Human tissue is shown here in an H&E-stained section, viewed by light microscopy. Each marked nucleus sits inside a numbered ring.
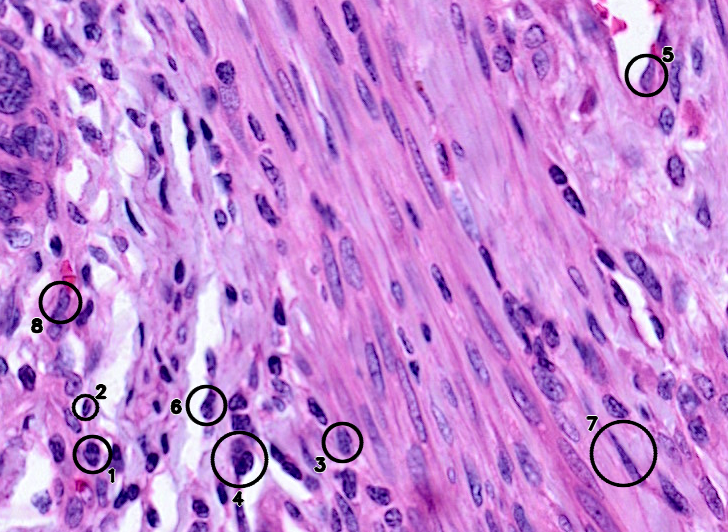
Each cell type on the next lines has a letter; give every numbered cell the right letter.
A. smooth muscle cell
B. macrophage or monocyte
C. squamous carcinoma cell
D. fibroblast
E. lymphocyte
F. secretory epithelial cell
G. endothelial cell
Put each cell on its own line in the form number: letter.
1: E
2: E
3: E
4: E
5: G
6: E
7: D
8: G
